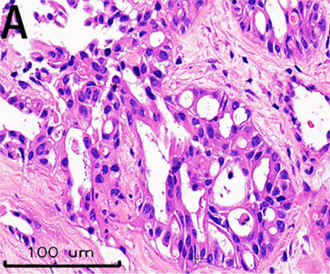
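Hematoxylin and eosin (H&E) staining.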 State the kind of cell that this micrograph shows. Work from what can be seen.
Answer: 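Atypical epithelial cells form irregular glands and cords. The cell groups lie within pink fibrous stroma. So: infiltrating tumor cells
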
